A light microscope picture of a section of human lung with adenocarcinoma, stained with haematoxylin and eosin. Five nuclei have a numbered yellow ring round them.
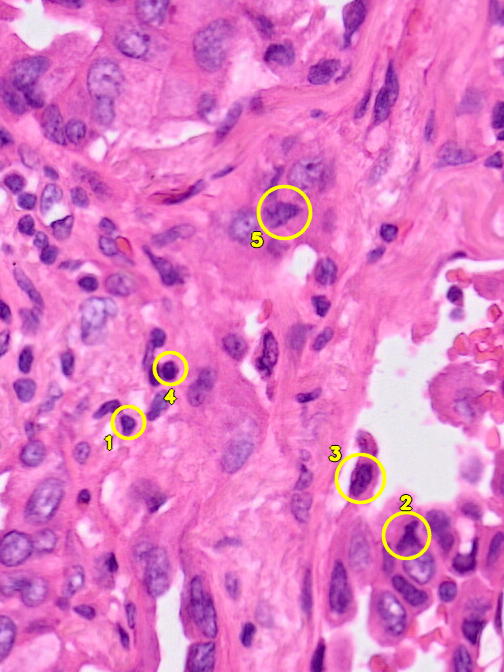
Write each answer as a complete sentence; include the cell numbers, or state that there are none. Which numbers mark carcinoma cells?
The numbers 2, 3 and 5 mark cells that are carcinoma cells.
